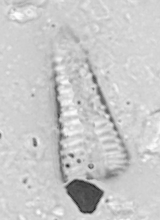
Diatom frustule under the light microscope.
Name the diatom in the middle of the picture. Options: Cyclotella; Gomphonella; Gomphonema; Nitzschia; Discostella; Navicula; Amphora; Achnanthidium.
Gomphonella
